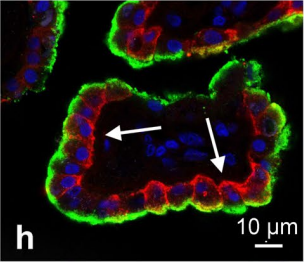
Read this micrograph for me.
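This section shows folded choroid plexus tissue lined by a single layer of cuboidal epithelial cells. A green line runs along the outer free surface of the epithelium. Red outlines the bases and side borders of many of the cells, facing the inner core. The cells form a continuous sheet around a central core.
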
